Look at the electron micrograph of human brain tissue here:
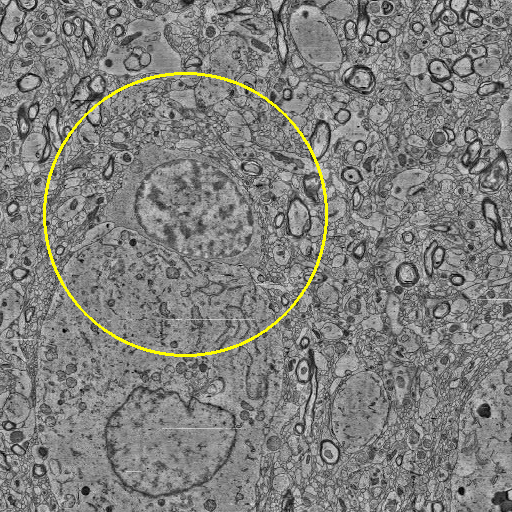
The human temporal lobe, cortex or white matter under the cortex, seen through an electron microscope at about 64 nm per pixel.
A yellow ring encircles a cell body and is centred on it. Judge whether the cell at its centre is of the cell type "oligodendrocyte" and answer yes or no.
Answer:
yes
